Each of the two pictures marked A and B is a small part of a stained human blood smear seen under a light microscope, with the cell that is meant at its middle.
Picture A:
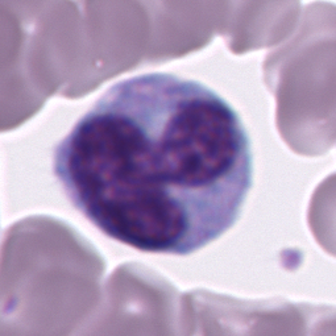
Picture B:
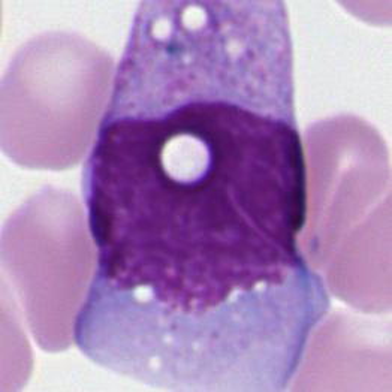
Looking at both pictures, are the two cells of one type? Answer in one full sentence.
Yes, they are the same type: both are monocytes.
